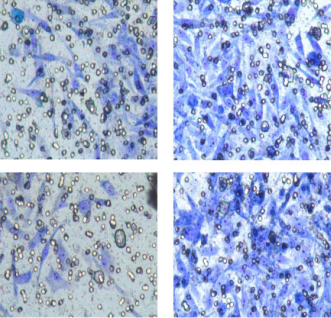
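Cultured cells that have crossed a porous membrane, stained blue to violet and seen from above. The cells are flattened and irregular, ranging from spindle-shaped and elongated forms to polygonal ones with short extensions. Darker blue nuclei are visible in some. Many small, round, clear refractile circles of fairly even size are scattered evenly across the field behind and between the cells; these are the membrane pores. In some images the cells are sparse and stand apart on the pale background. In others they are crowded and overlap, covering much of the field.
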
